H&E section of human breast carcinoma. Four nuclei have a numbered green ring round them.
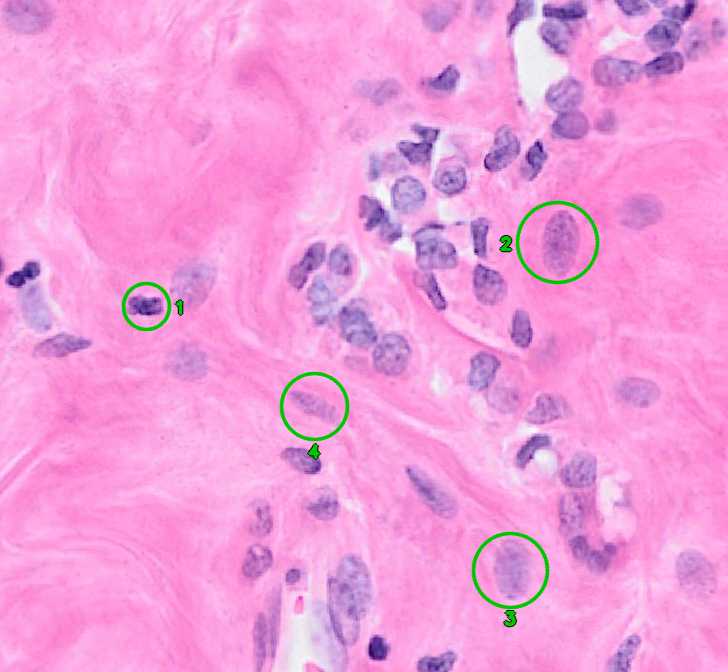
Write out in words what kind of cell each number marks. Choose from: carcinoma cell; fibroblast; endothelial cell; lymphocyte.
Cell 1 is a lymphocyte. Cells 2, 3 and 4 are fibroblasts.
